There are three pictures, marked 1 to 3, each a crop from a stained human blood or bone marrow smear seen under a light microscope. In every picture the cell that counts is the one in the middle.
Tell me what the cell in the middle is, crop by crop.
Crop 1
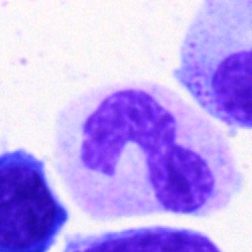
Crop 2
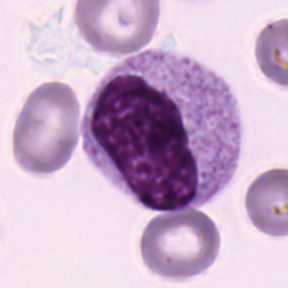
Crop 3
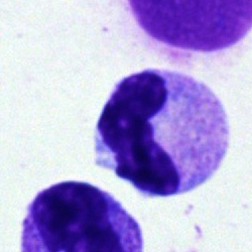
1: band neutrophil
2: metamyelocyte
3: band neutrophil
